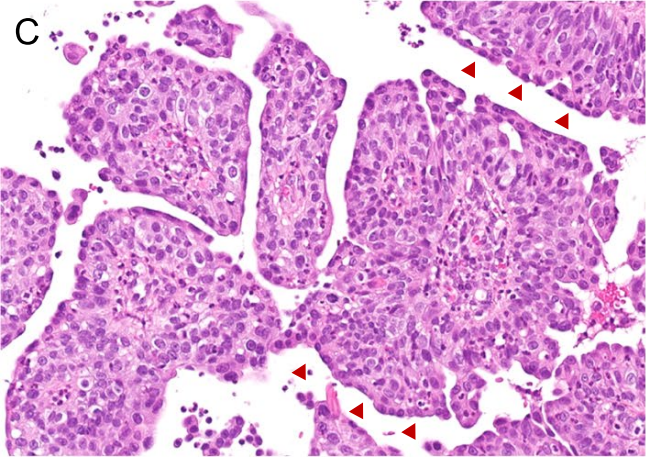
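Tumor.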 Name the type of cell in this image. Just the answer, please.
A: Uniformly round and polygonal cells with abundant, eosinophilic cytoplasm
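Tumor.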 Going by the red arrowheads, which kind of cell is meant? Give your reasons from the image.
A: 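The marked cells are thin and flat. They lie at the free surface of the epithelium.
Answer: Discontinuous flattened cells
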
